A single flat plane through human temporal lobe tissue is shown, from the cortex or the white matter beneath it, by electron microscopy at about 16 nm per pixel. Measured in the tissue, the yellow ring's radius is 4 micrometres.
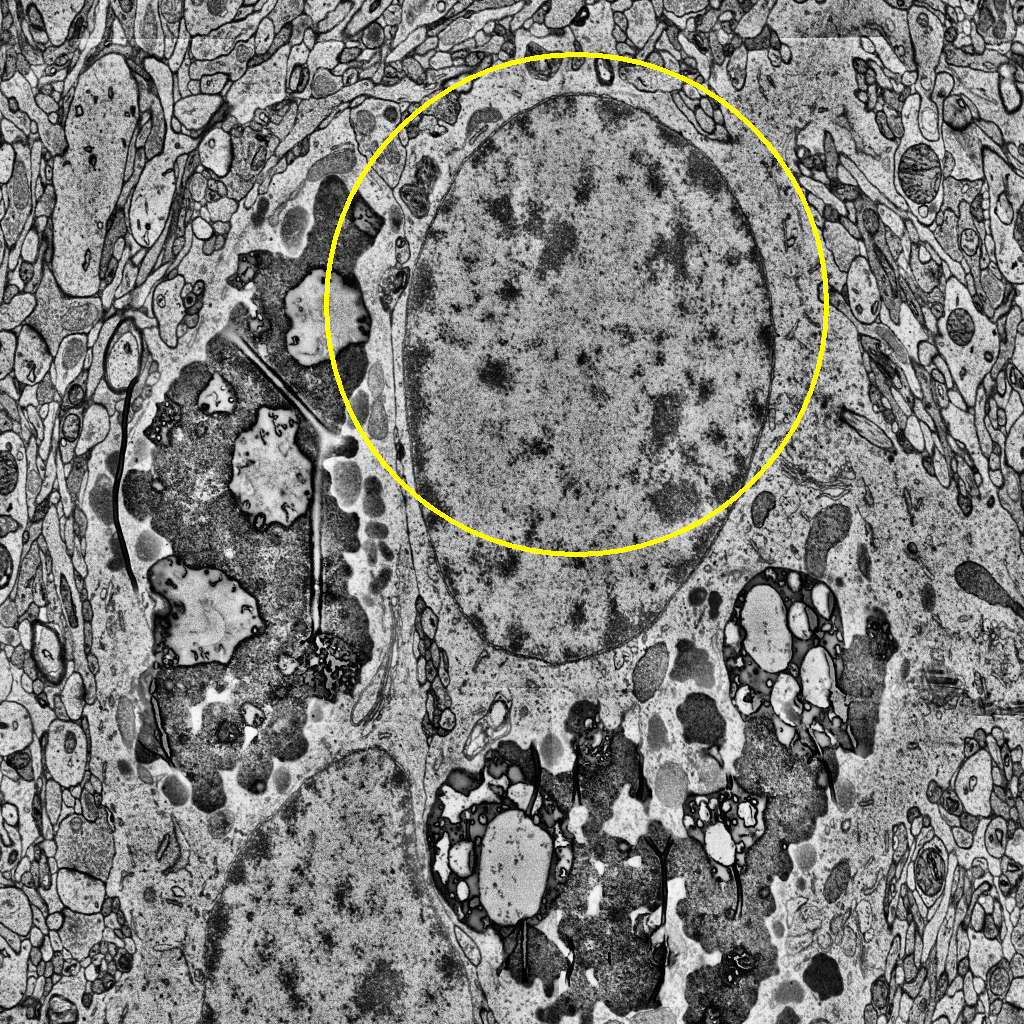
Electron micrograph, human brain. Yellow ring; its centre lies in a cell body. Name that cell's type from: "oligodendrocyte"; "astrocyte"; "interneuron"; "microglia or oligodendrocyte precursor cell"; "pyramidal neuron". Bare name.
astrocyte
